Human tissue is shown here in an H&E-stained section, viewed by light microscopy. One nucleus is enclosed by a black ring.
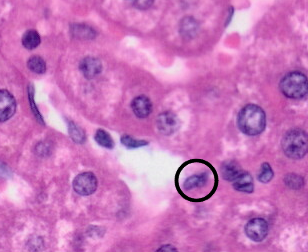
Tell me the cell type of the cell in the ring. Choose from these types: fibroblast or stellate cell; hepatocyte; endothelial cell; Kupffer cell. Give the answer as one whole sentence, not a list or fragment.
The expected answer is simply that the cell in the ring is a fibroblast or stellate cell.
